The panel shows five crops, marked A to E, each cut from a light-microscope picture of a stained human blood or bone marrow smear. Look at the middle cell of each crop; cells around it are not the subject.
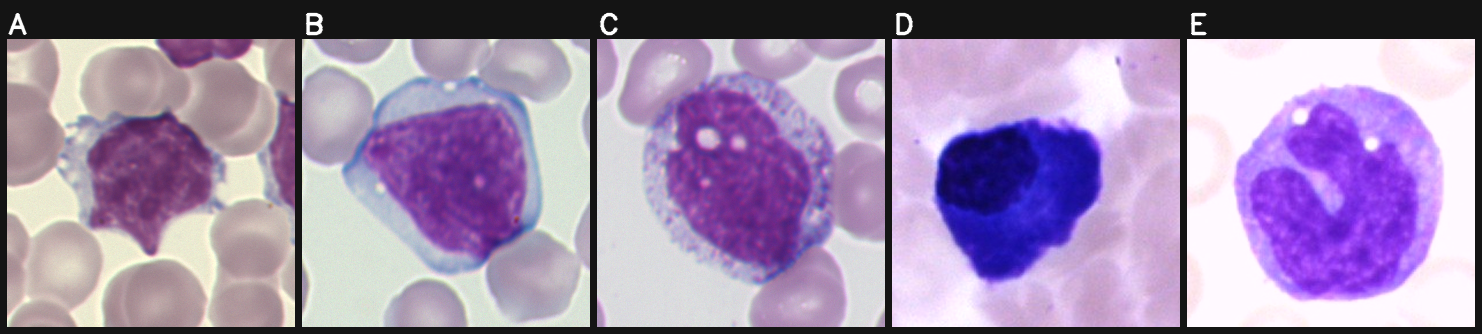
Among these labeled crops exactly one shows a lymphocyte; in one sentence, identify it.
The one that shows a lymphocyte is crop A.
